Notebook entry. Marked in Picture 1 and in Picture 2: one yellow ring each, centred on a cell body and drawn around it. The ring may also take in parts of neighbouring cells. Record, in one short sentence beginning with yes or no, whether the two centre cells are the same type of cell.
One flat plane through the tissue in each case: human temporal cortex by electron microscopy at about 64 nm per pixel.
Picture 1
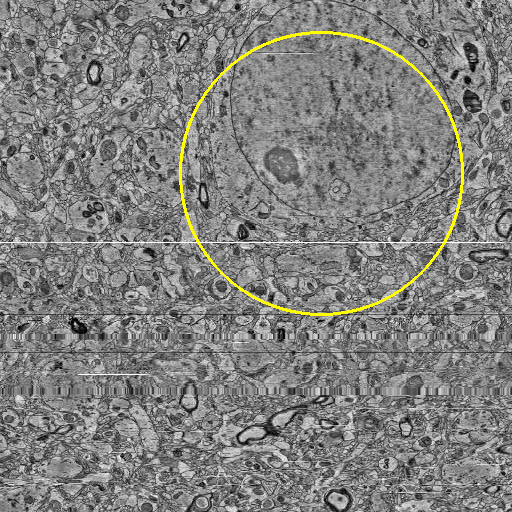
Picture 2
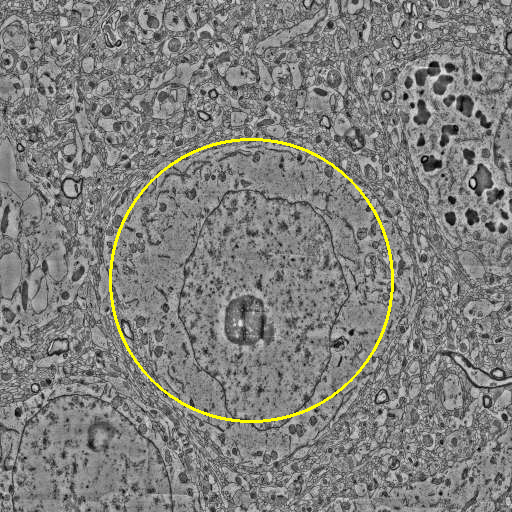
Yes, both are the same type of cell.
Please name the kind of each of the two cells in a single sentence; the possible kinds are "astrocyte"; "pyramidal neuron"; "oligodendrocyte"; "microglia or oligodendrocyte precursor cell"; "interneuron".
Each of the two pictures has a pyramidal neuron at the ring centre.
